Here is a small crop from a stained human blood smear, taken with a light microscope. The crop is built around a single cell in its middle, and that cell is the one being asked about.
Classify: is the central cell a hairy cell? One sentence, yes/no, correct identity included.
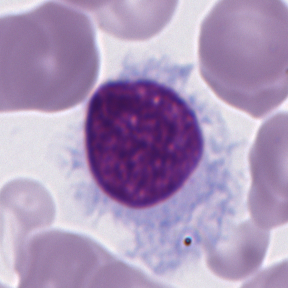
Yes, the cell that occupies the centre is a hairy cell.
